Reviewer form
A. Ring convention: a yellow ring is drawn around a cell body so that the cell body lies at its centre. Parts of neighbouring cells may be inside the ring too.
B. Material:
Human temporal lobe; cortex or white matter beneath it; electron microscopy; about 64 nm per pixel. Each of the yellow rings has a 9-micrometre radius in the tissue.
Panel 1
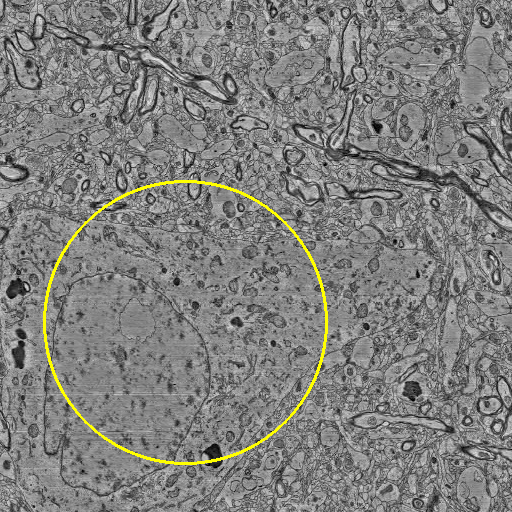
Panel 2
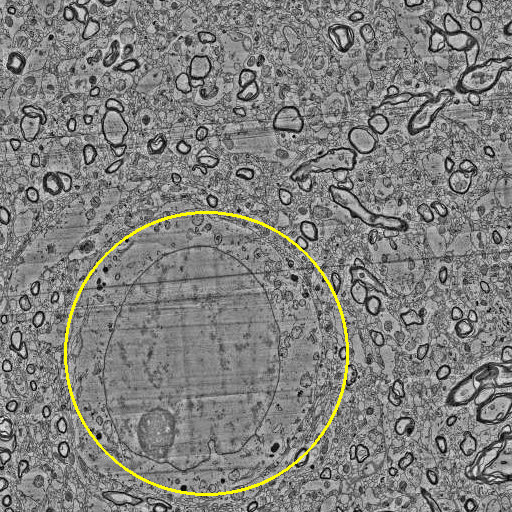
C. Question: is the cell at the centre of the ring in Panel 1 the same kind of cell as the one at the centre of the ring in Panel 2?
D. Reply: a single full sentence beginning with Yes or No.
Yes, the cells in Panel 1 and Panel 2 are the same kind of cell.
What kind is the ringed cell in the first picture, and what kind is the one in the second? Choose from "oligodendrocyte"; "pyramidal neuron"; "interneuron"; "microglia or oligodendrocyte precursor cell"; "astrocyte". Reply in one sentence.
Each one of the two ringed cells is a pyramidal neuron.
